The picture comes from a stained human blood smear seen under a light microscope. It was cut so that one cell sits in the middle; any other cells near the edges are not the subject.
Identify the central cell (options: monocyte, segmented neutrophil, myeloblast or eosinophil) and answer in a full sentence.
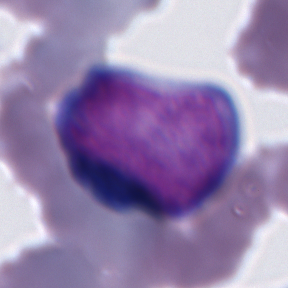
Centrally within this crop lies a myeloblast.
